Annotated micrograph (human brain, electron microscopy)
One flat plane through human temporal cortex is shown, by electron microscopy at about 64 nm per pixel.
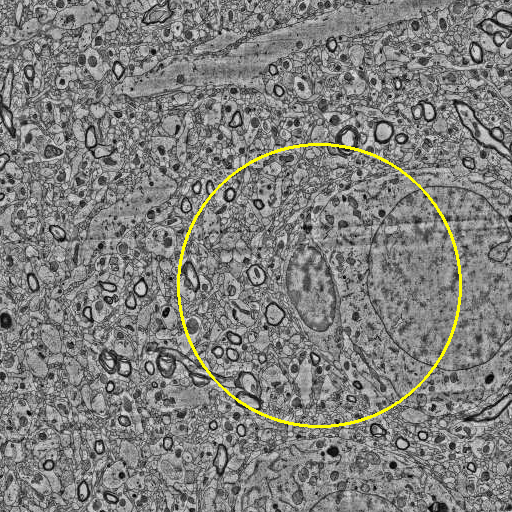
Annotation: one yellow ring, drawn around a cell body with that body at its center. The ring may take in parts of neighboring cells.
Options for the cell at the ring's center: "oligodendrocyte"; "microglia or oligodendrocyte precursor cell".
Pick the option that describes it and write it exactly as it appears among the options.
oligodendrocyte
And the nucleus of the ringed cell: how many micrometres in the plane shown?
The nucleus of the ringed cell is clearly longer than it is wide in this plane, about 5 by 3 micrometres.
